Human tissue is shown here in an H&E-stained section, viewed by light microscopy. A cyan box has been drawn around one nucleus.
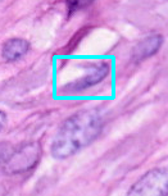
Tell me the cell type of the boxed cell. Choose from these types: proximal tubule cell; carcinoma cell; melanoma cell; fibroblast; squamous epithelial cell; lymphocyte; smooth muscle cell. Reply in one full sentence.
In the context of this tissue, the boxed cell is a fibroblast.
